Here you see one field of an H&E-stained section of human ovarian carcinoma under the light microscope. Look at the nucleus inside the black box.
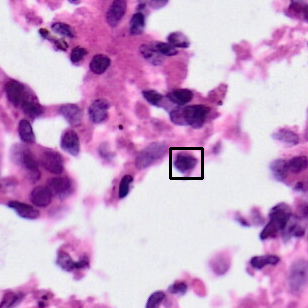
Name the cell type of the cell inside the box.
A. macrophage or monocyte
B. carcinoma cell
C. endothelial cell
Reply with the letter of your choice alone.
A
